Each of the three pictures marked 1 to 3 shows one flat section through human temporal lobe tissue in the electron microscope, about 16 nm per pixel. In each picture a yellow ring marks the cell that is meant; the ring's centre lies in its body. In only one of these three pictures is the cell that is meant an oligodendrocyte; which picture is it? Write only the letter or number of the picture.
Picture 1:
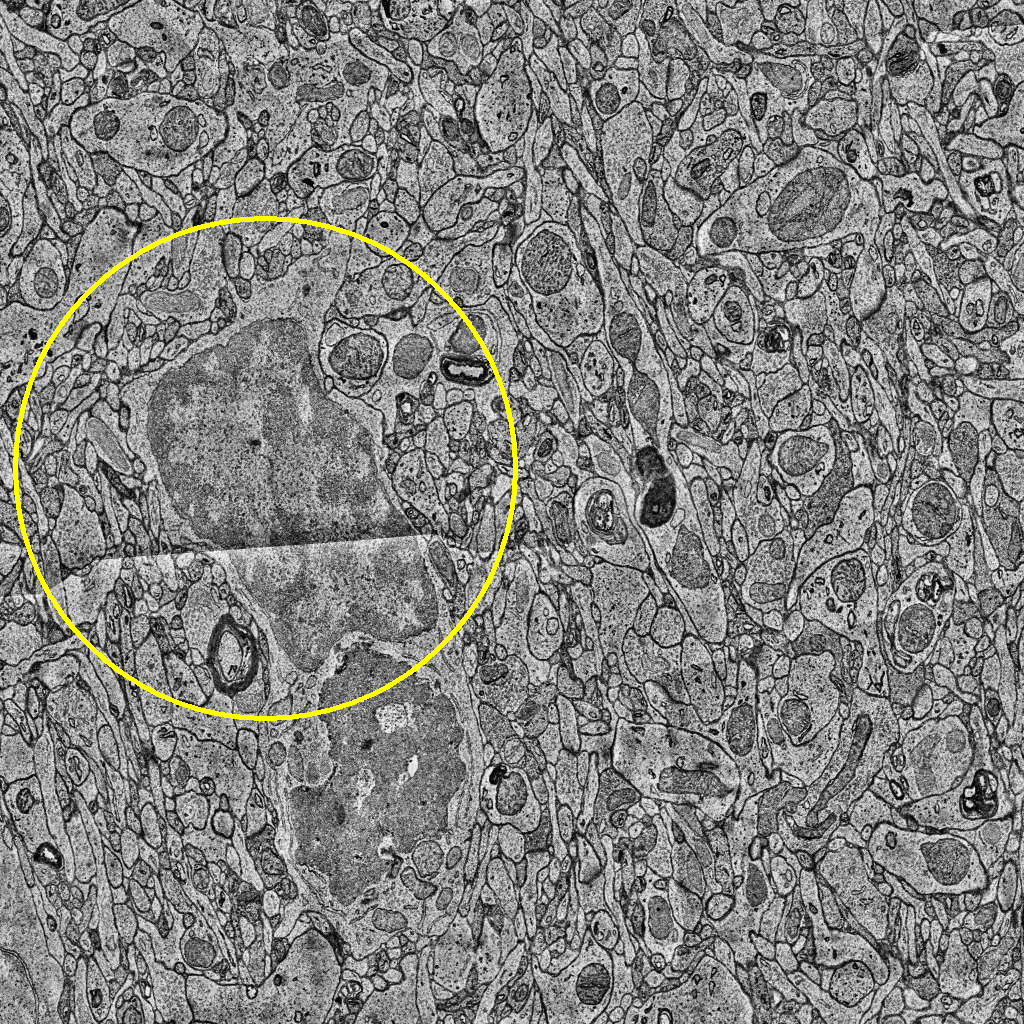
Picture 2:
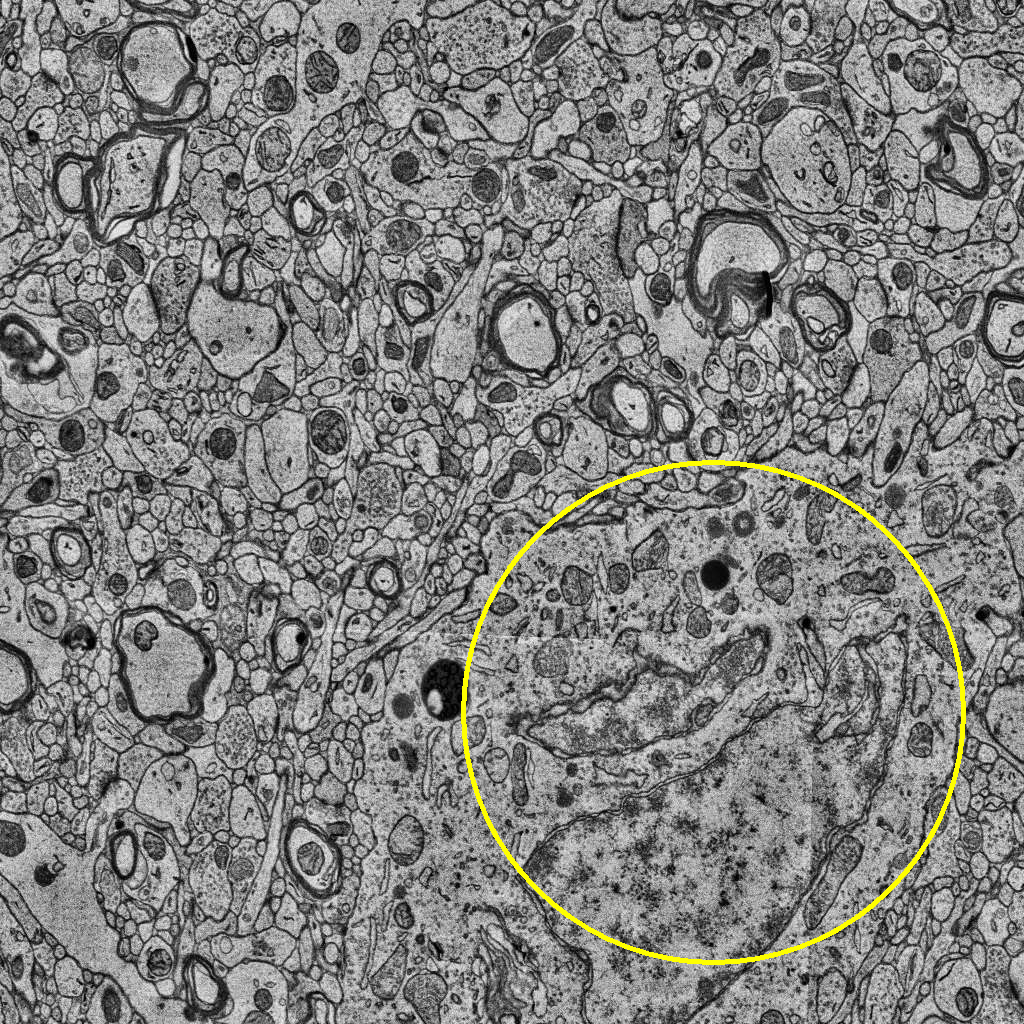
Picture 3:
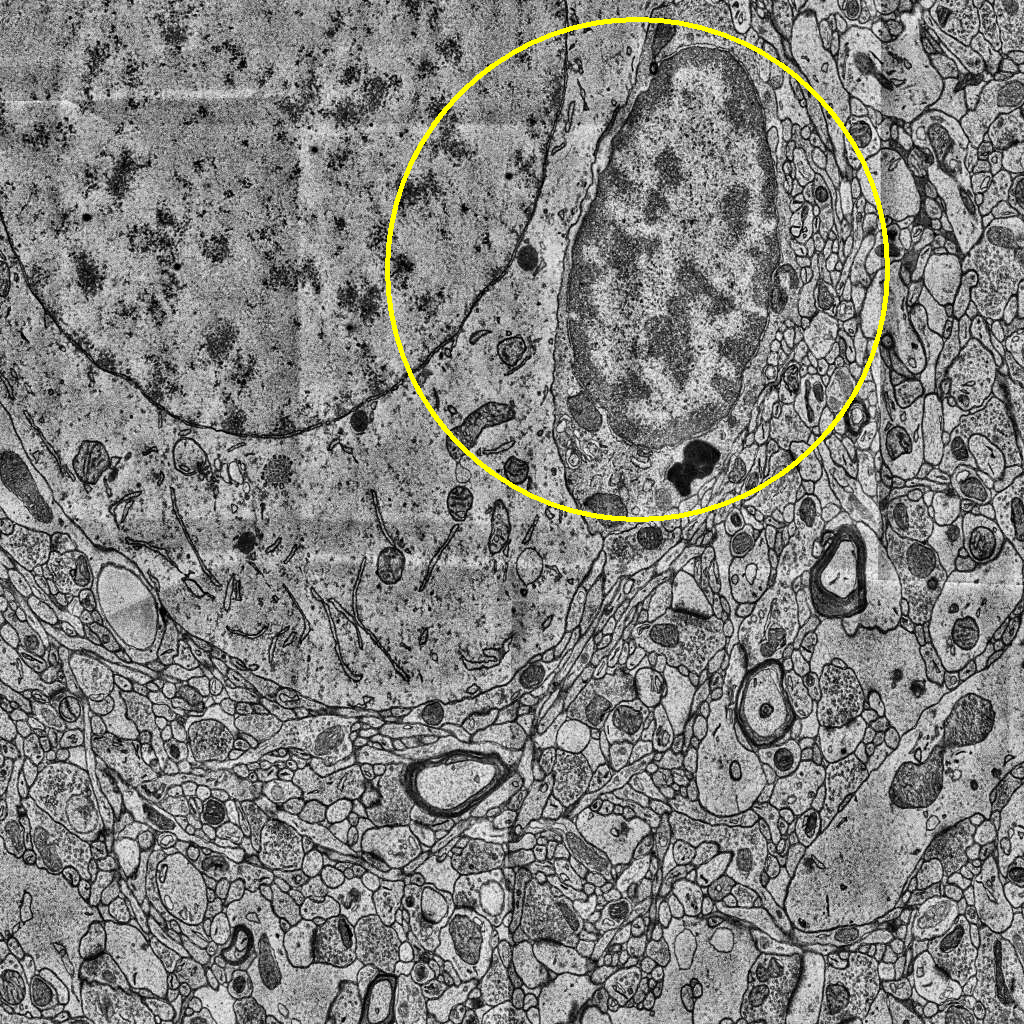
3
